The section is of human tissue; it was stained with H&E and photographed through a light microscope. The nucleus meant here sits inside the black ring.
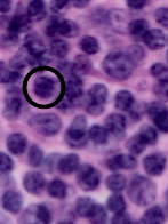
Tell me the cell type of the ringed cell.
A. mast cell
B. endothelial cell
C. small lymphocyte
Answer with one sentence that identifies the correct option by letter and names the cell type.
Since the ringed cell is a small lymphocyte, option C is correct.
